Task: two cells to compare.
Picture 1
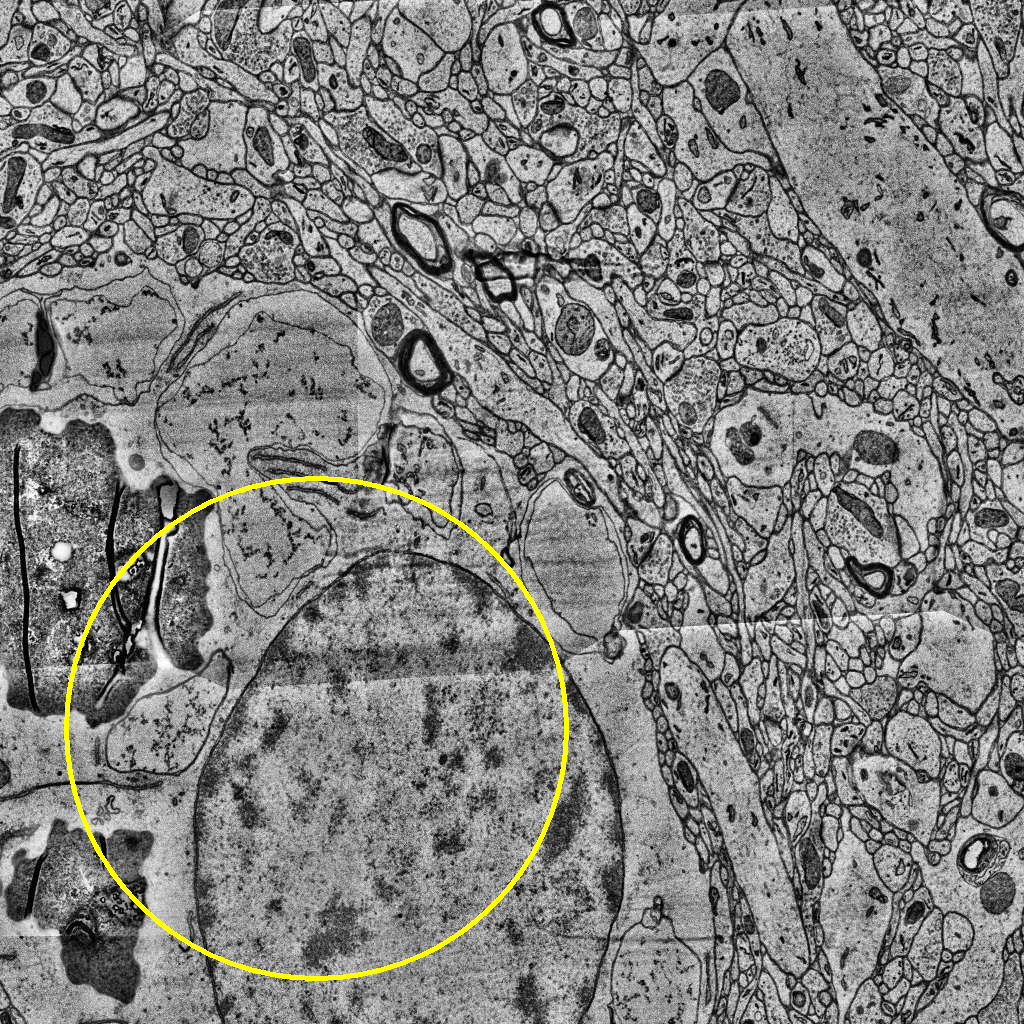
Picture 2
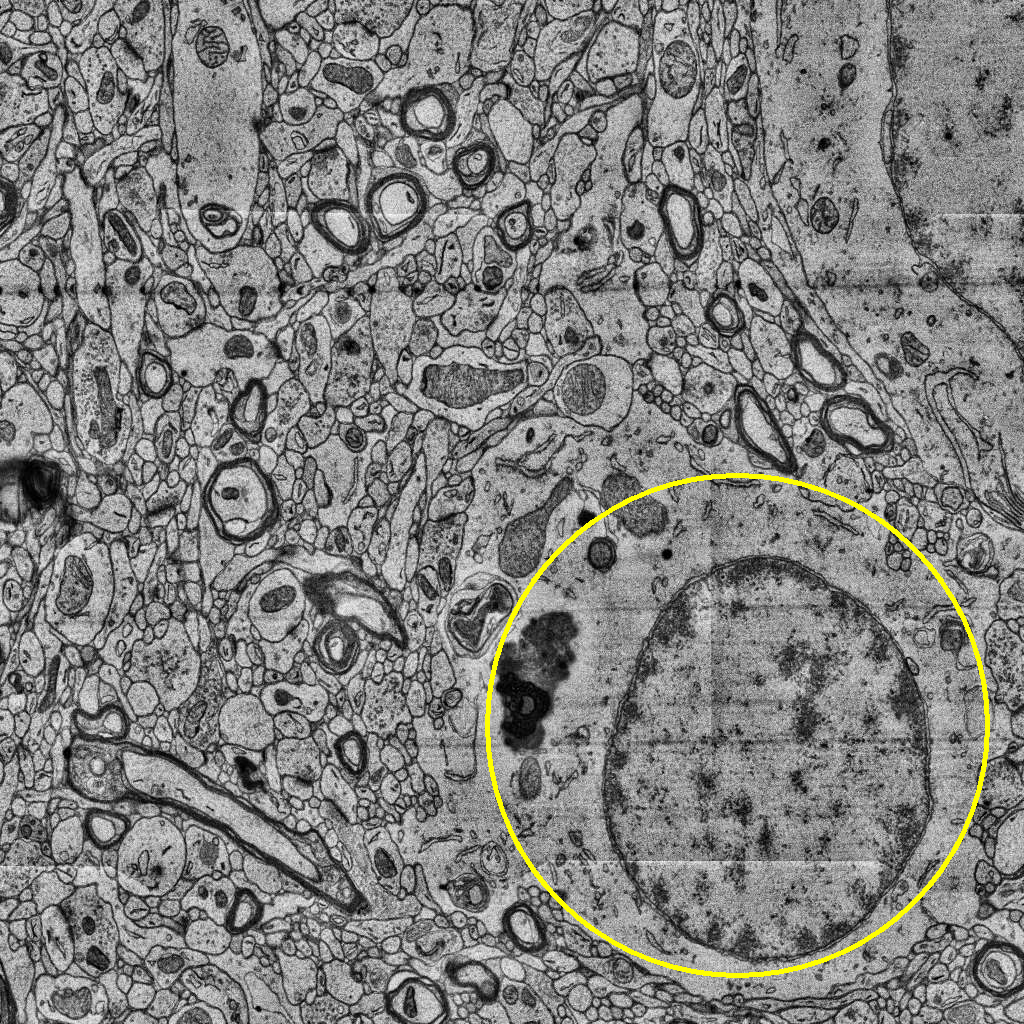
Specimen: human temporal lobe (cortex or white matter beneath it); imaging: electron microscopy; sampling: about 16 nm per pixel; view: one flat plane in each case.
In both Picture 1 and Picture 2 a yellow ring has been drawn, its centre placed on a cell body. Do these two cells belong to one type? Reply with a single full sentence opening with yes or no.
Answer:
Yes, the two cells at the ring centres in Picture 1 and Picture 2 share one type.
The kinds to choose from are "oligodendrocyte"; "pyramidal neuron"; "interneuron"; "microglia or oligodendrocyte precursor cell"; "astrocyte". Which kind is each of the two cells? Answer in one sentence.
Each of the two cells is an astrocyte.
